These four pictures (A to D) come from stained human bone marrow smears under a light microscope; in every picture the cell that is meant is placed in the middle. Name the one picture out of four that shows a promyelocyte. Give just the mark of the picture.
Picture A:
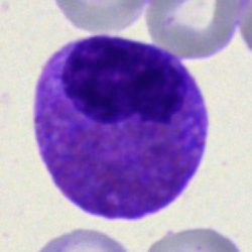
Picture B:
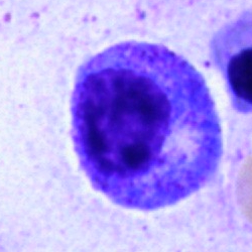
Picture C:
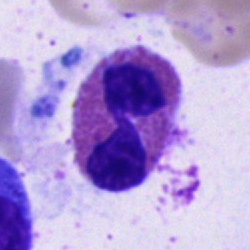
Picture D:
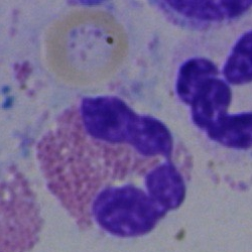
B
